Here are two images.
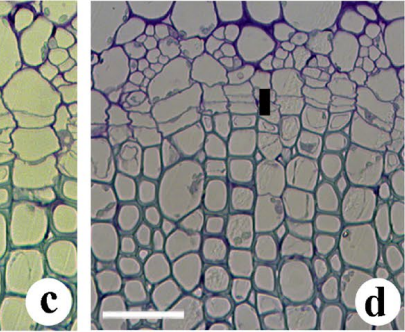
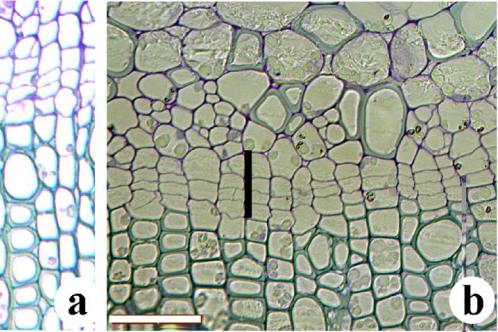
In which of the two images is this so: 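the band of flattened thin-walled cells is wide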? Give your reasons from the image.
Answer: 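First image: only a few tiers of flattened cells, marked by a short bar. Second image: many tiers of flattened cells, marked by a long bar. On this evidence: the second image.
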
